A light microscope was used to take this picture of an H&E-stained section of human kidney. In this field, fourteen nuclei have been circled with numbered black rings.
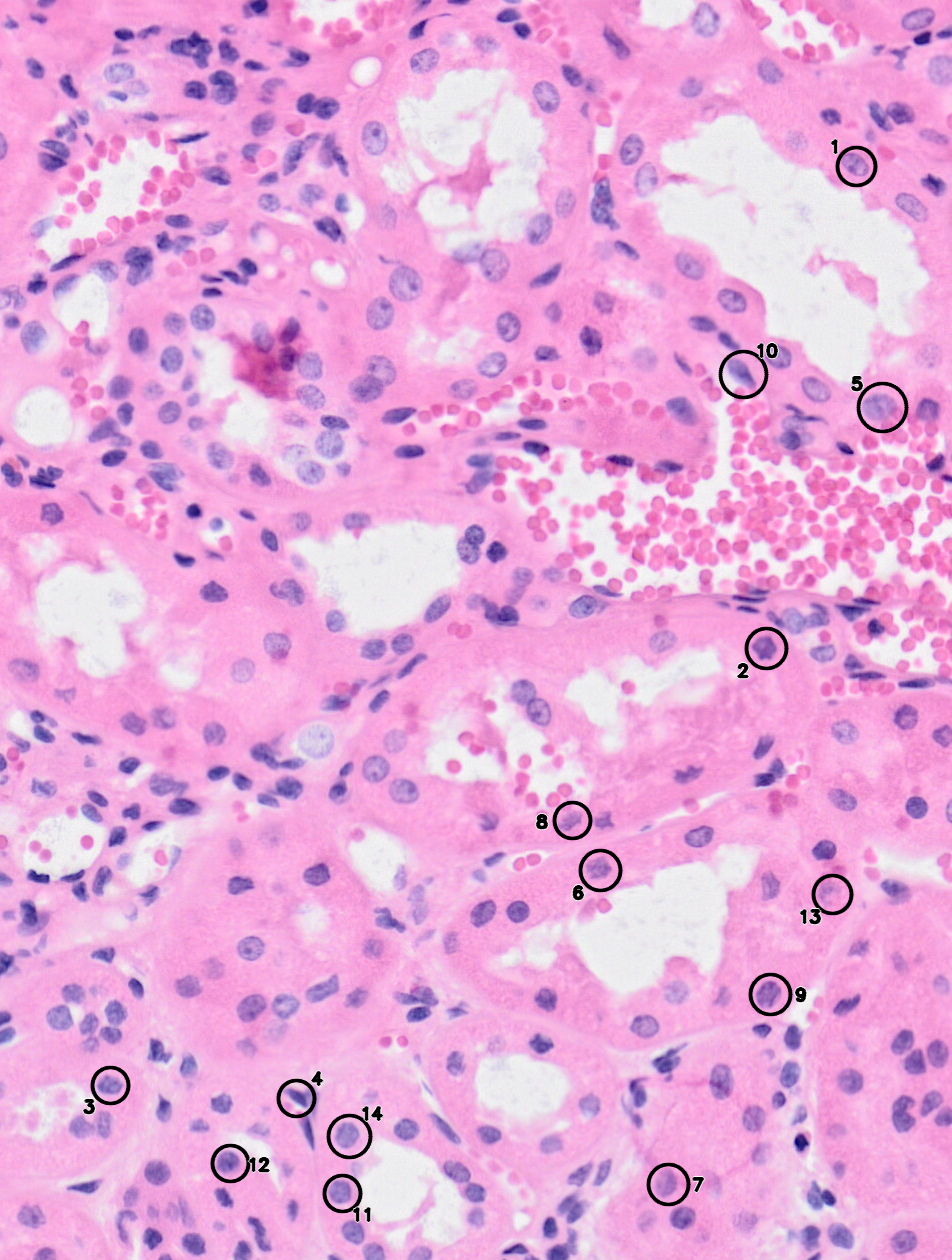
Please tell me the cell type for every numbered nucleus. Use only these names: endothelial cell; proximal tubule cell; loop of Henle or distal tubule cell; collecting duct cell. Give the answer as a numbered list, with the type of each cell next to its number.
1. proximal tubule cell
2. proximal tubule cell
3. loop of Henle or distal tubule cell
4. endothelial cell
5. proximal tubule cell
6. proximal tubule cell
7. proximal tubule cell
8. proximal tubule cell
9. proximal tubule cell
10. endothelial cell
11. loop of Henle or distal tubule cell
12. loop of Henle or distal tubule cell
13. proximal tubule cell
14. loop of Henle or distal tubule cell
